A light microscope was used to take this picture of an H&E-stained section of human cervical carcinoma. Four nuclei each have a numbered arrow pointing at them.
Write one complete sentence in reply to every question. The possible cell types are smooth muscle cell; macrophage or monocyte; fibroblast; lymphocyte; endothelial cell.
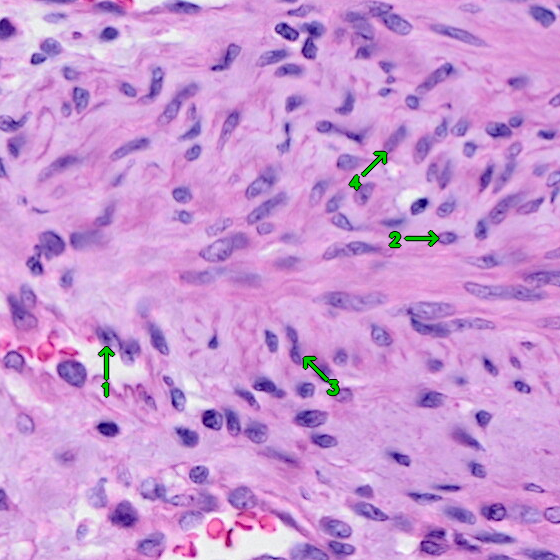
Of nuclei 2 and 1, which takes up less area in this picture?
The smaller nucleus is 2, and 1 covers roughly 2 times its area.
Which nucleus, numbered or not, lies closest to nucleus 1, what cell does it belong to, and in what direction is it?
Lying below and to the right of nucleus 1, the nearest nucleus is that of an endothelial cell.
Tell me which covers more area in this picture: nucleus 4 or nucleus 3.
Nucleus 4 is the larger one, covering about 2 times the area of nucleus 3.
